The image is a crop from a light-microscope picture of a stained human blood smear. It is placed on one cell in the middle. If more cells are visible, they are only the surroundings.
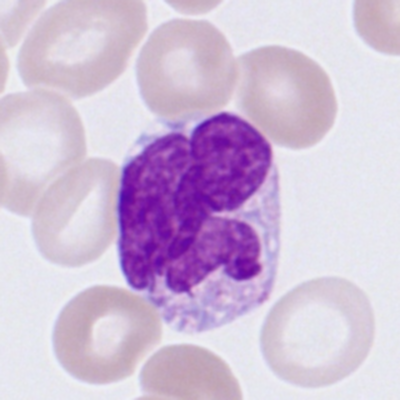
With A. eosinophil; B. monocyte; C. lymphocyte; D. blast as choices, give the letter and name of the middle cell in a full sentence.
In this crop the middle cell is a monocyte, so option B is the correct answer.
